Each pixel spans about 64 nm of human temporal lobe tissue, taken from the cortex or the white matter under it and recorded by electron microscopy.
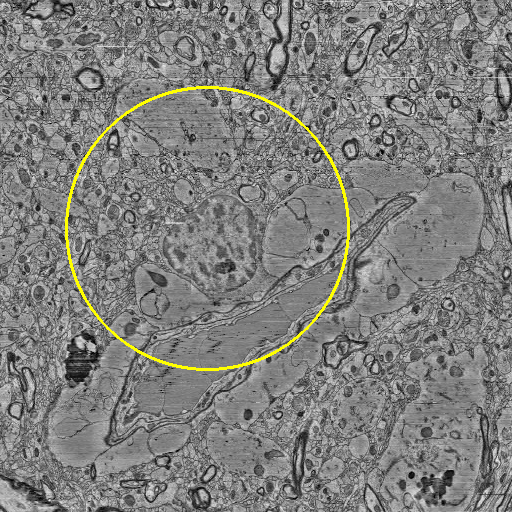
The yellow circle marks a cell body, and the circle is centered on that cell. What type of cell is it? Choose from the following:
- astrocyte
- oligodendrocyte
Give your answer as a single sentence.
This cell body belongs to an oligodendrocyte.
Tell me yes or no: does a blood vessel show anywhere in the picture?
Yes, one is visible.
